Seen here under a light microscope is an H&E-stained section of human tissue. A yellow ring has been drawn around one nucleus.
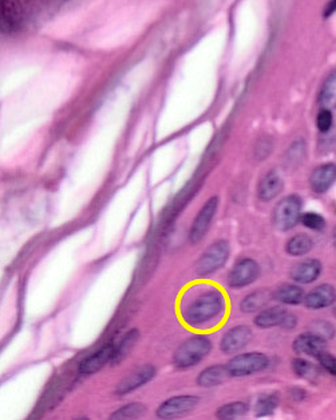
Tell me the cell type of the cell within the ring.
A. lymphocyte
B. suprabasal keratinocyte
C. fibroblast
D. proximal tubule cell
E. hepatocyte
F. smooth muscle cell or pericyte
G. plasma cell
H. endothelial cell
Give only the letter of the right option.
B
